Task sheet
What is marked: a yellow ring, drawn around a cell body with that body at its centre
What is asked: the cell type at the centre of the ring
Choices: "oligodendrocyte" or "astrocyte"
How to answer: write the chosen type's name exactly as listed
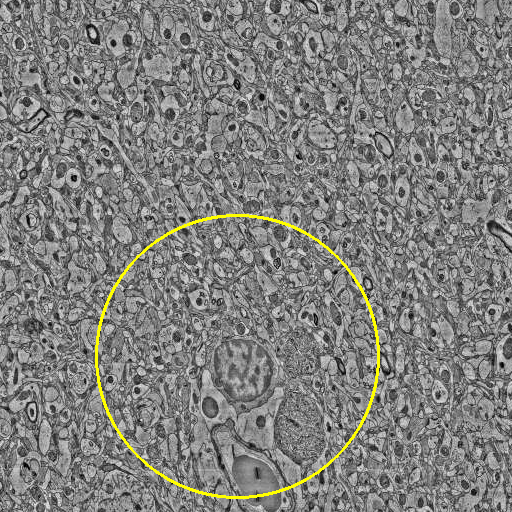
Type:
oligodendrocyte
